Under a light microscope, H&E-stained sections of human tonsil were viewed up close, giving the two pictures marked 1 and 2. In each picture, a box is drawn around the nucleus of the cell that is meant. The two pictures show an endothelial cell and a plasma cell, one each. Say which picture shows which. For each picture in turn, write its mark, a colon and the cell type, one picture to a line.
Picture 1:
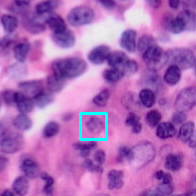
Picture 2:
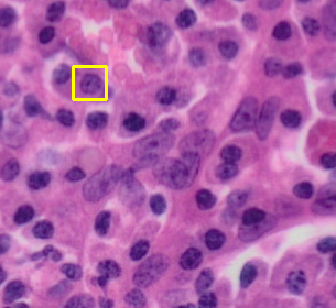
1: endothelial cell
2: plasma cell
